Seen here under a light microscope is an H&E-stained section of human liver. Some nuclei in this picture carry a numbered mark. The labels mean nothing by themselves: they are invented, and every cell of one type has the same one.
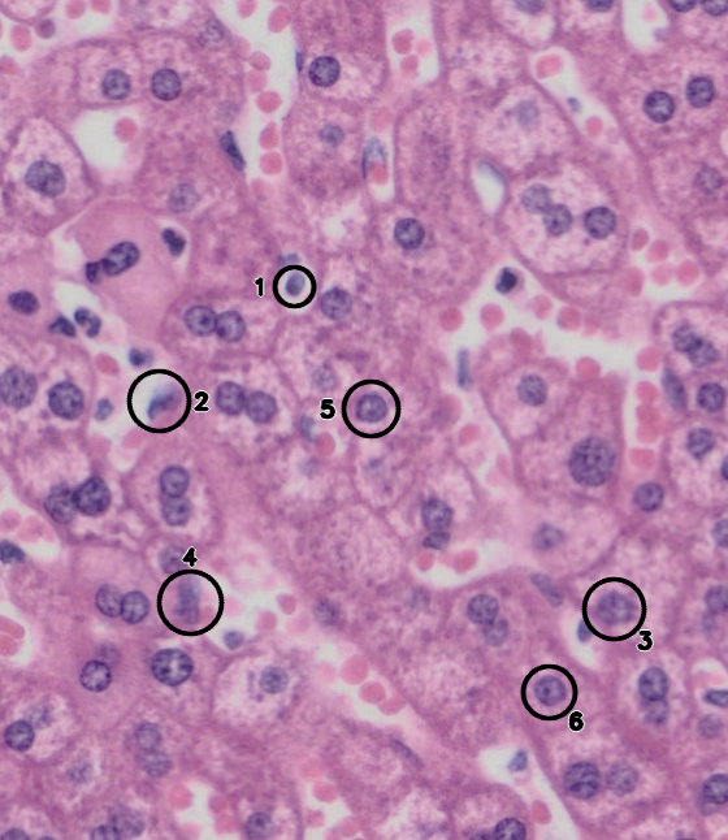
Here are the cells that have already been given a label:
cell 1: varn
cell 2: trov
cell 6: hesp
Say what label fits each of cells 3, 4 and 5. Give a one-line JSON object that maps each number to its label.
{"3": "hesp", "4": "trov", "5": "hesp"}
